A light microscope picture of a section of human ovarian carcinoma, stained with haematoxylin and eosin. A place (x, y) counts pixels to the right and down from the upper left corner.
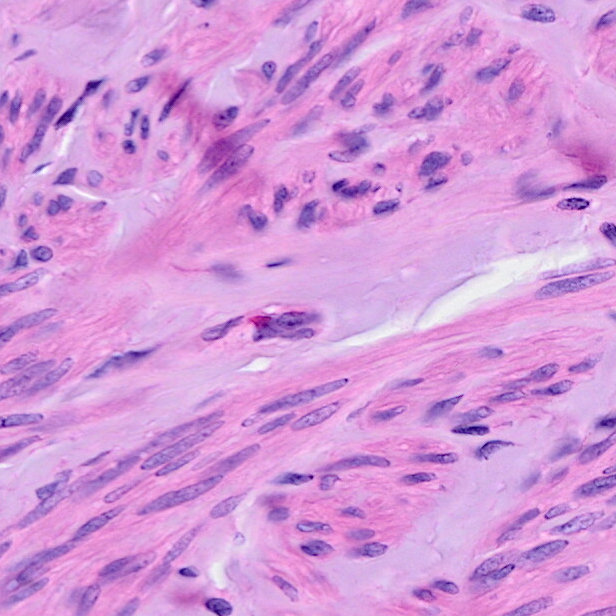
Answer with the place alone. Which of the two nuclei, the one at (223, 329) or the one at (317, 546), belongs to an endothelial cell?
(223, 329)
